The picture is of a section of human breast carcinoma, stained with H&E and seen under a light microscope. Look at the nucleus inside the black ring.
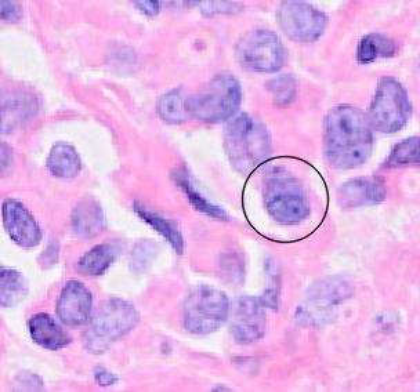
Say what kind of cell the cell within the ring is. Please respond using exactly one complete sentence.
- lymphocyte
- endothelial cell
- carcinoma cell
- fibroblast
As for its identity, the cell within the ring is a carcinoma cell.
